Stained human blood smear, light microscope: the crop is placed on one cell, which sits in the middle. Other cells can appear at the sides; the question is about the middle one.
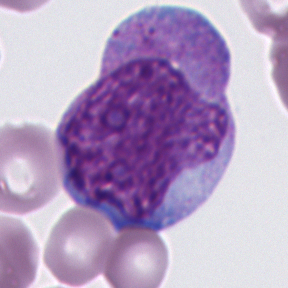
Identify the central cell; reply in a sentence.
The centrally located cell in the crop is an atypical promyelocyte.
